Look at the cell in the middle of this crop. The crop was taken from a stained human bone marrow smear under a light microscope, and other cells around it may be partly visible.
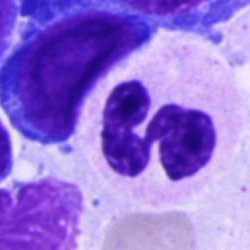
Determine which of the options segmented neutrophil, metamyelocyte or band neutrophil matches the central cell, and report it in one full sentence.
Regarding the central cell, it is a segmented neutrophil.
